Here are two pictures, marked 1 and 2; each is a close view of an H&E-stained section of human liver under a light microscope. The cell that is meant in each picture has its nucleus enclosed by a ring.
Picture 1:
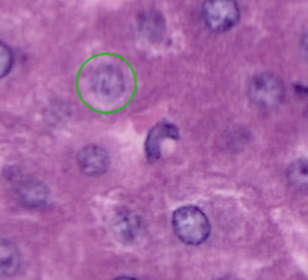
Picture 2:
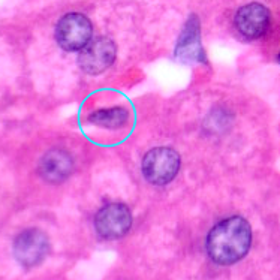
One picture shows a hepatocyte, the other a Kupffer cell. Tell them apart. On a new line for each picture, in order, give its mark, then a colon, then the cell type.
1: hepatocyte
2: Kupffer cell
